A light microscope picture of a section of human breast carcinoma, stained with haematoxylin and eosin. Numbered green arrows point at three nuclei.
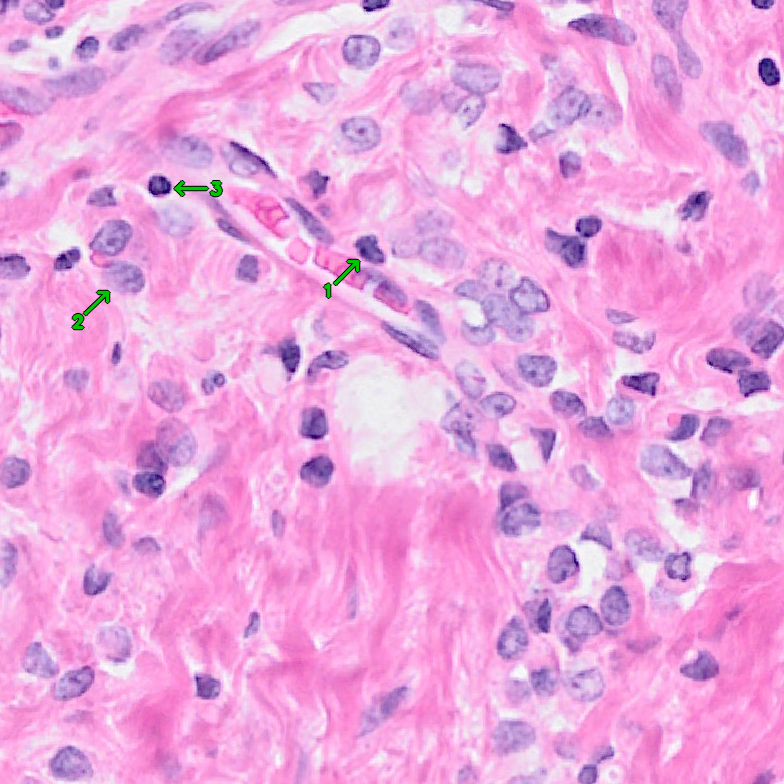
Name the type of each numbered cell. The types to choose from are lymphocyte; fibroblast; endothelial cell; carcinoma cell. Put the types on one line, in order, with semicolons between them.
lymphocyte; carcinoma cell; lymphocyte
